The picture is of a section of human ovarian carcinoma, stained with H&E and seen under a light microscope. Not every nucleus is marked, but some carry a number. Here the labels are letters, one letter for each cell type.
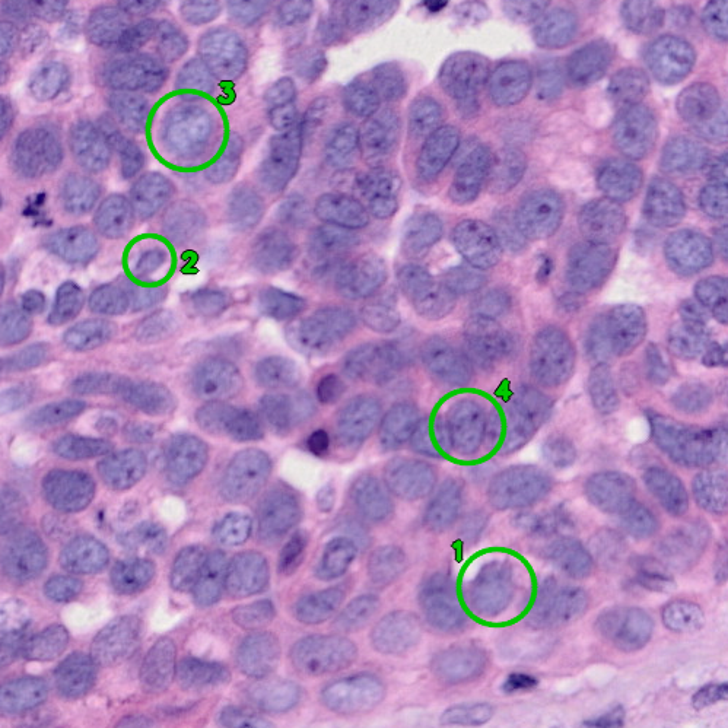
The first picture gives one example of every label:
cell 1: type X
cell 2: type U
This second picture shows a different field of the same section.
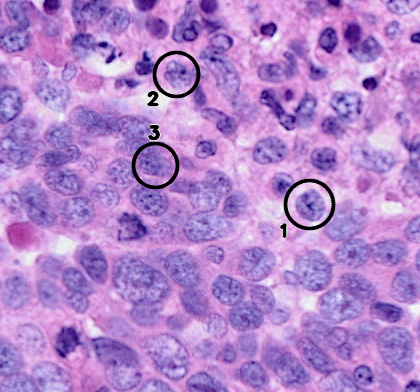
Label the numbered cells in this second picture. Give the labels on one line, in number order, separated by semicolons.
type U; type U; type X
